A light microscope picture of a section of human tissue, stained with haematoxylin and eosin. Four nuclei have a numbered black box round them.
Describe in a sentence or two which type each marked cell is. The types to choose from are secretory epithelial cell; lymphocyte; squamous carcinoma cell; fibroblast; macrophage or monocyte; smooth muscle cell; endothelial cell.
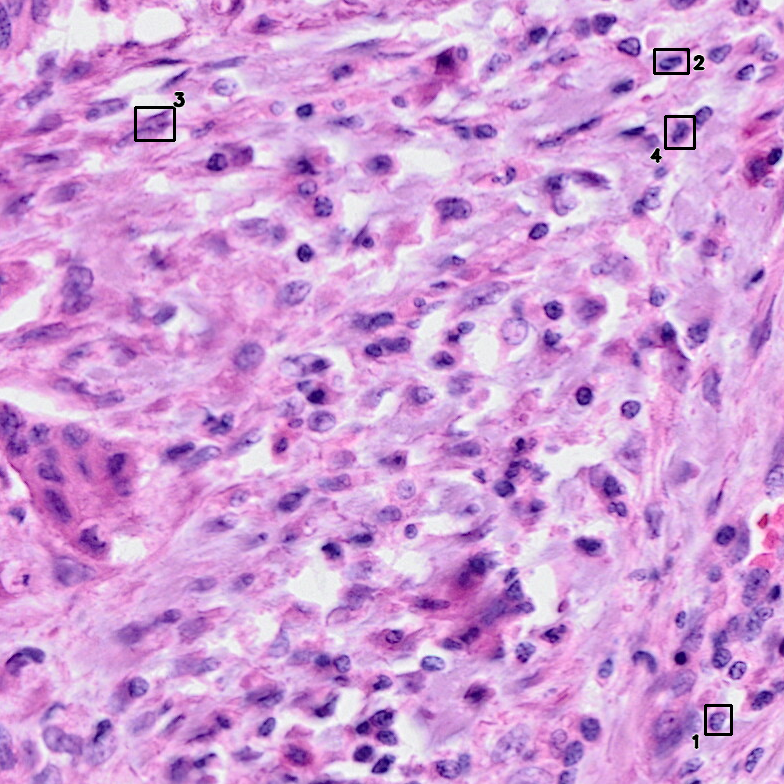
Cell 1 is a lymphocyte, cell 2 is a lymphocyte, cell 3 is a fibroblast and cell 4 is a lymphocyte.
